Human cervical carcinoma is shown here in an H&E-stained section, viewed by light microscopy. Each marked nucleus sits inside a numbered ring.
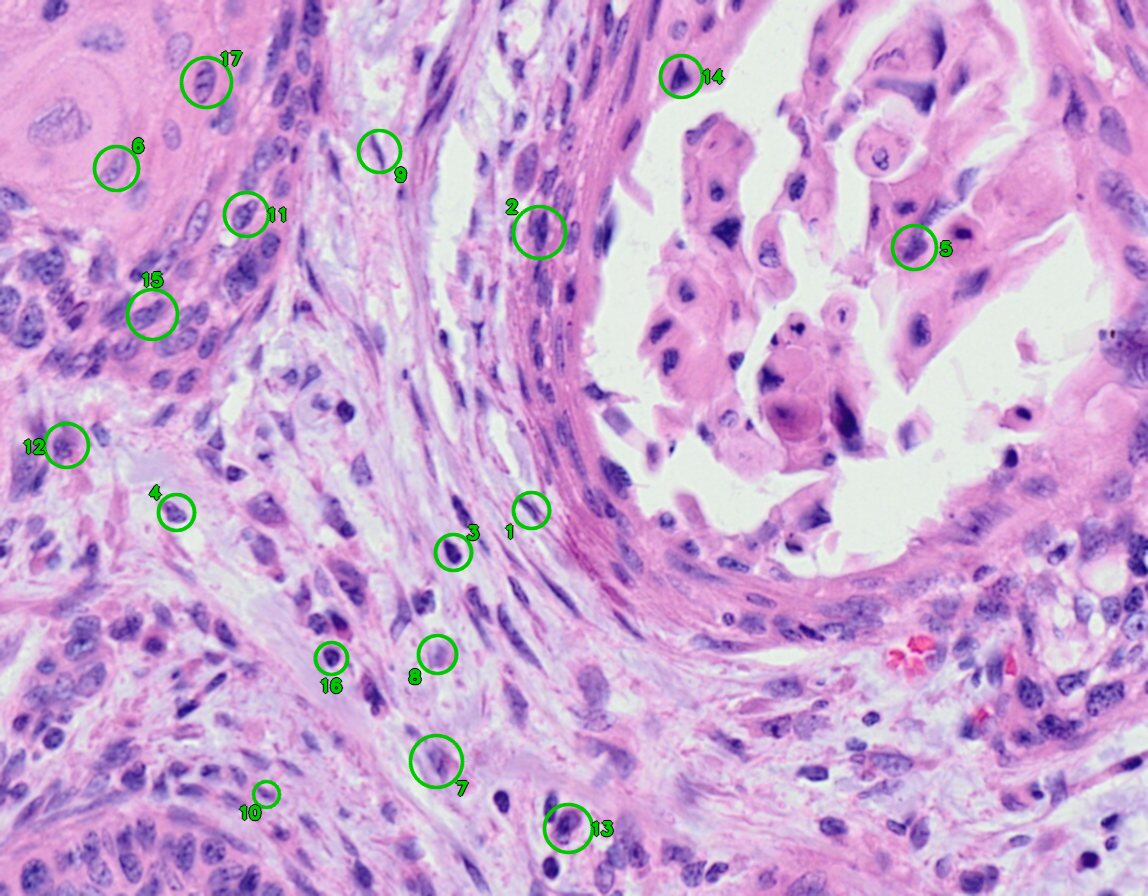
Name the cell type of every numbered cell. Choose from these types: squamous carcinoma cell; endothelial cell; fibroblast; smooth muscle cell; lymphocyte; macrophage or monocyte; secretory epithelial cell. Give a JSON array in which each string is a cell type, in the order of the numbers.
["fibroblast", "squamous carcinoma cell", "lymphocyte", "lymphocyte", "squamous carcinoma cell", "squamous carcinoma cell", "fibroblast", "fibroblast", "fibroblast", "fibroblast", "squamous carcinoma cell", "macrophage or monocyte", "macrophage or monocyte", "squamous carcinoma cell", "squamous carcinoma cell", "lymphocyte", "squamous carcinoma cell"]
